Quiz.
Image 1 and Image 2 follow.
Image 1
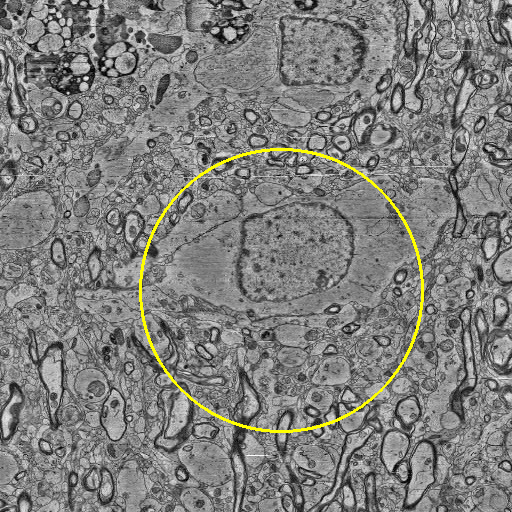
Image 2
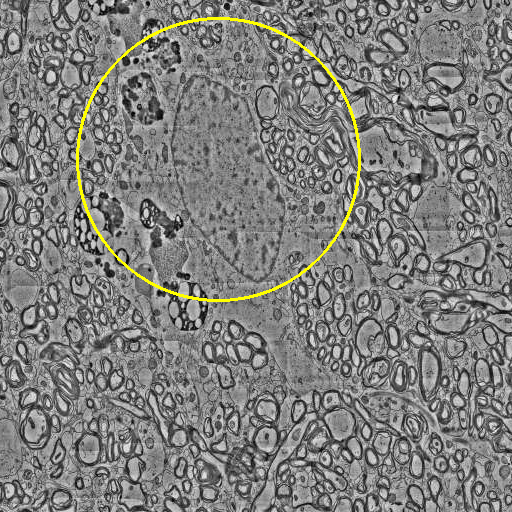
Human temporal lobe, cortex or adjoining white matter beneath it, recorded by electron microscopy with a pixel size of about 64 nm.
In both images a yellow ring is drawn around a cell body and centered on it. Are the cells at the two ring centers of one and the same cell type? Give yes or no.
yes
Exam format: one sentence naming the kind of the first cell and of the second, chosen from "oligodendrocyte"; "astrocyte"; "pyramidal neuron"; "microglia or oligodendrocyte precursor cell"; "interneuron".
Each of the ringed cells, first and second, is an astrocyte.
